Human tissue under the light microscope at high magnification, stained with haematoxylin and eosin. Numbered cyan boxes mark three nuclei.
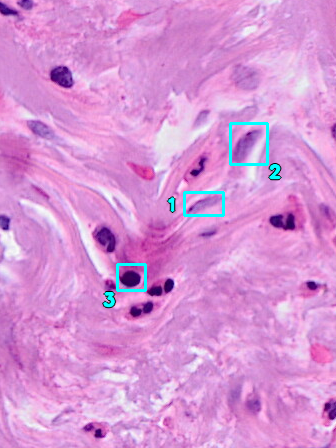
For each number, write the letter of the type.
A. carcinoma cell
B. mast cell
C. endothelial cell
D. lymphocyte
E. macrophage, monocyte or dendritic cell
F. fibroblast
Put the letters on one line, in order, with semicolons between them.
F; F; D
